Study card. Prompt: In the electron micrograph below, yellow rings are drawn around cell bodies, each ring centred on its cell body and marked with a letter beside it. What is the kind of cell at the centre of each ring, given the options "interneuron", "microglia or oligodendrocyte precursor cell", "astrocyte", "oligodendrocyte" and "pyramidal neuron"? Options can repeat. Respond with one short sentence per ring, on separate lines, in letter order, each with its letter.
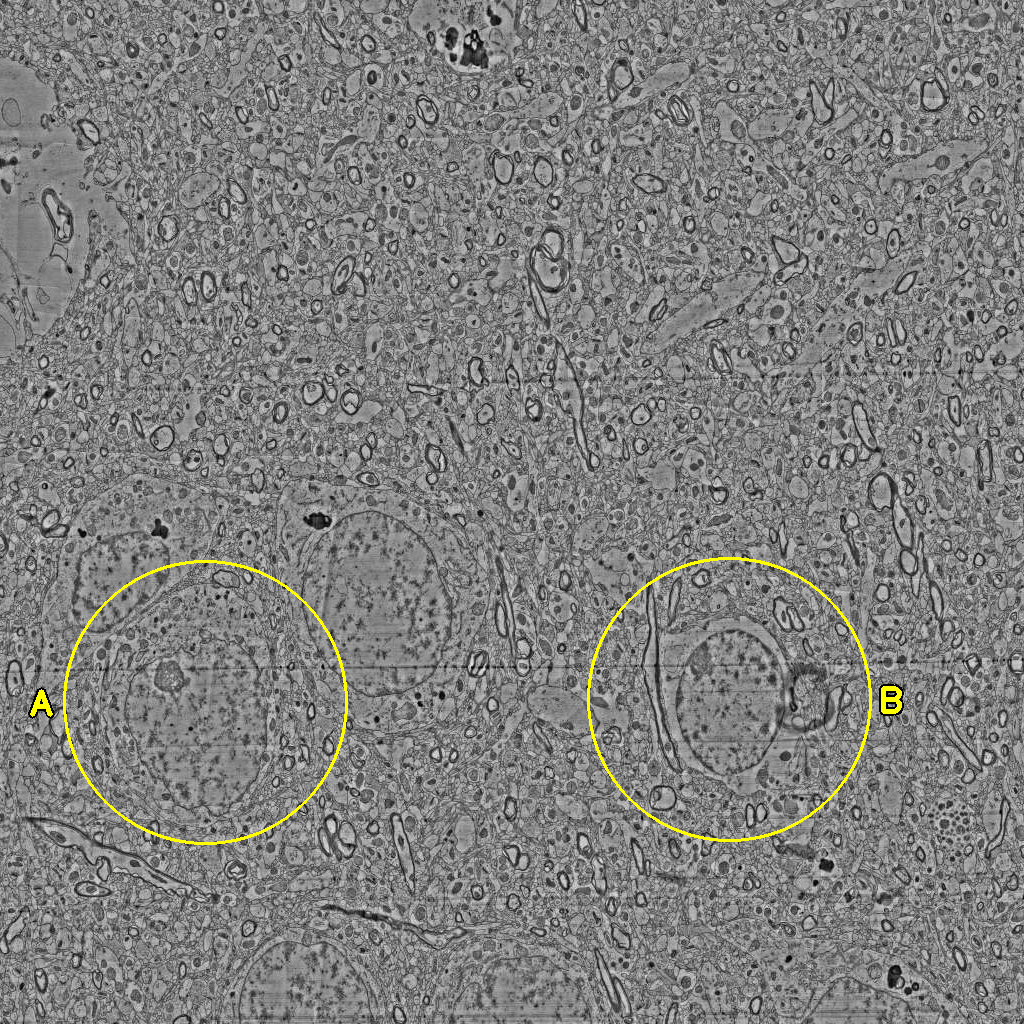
Ring A outlines a pyramidal neuron.
Ring B outlines an astrocyte.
